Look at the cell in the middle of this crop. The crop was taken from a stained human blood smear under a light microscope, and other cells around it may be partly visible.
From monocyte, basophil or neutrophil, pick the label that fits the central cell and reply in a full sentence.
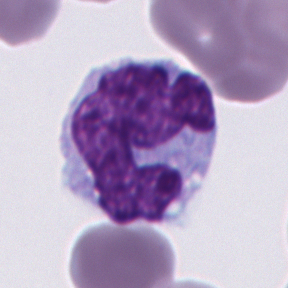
This particular crop is centered on a monocyte.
